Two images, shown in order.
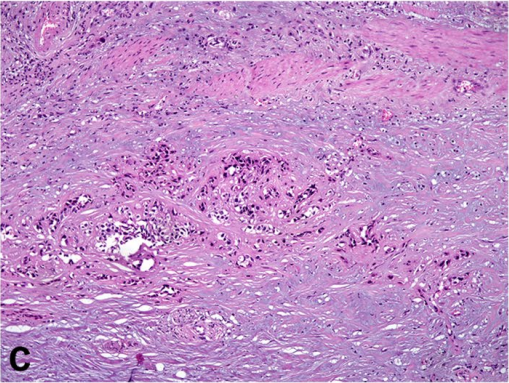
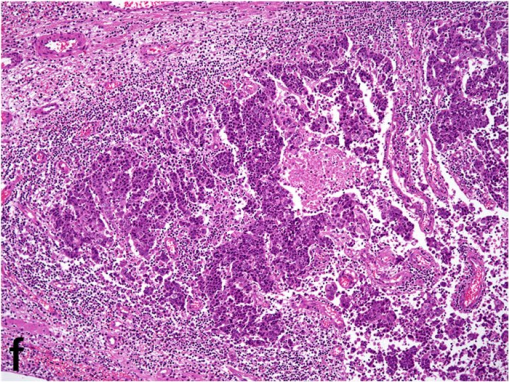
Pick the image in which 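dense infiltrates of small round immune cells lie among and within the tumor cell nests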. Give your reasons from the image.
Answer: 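Second image: many small dark round cells crowd the stroma and tumor clusters. First image: loose pale fibrous stroma with small tumor clusters and hardly any small round cells.
Conclusion: the second image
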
